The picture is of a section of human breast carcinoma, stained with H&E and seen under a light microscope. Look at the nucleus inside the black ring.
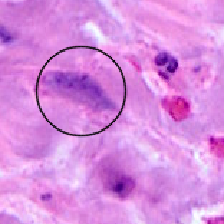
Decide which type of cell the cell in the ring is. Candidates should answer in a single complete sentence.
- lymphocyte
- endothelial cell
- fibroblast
In cellular terms, the cell in the ring is a fibroblast.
